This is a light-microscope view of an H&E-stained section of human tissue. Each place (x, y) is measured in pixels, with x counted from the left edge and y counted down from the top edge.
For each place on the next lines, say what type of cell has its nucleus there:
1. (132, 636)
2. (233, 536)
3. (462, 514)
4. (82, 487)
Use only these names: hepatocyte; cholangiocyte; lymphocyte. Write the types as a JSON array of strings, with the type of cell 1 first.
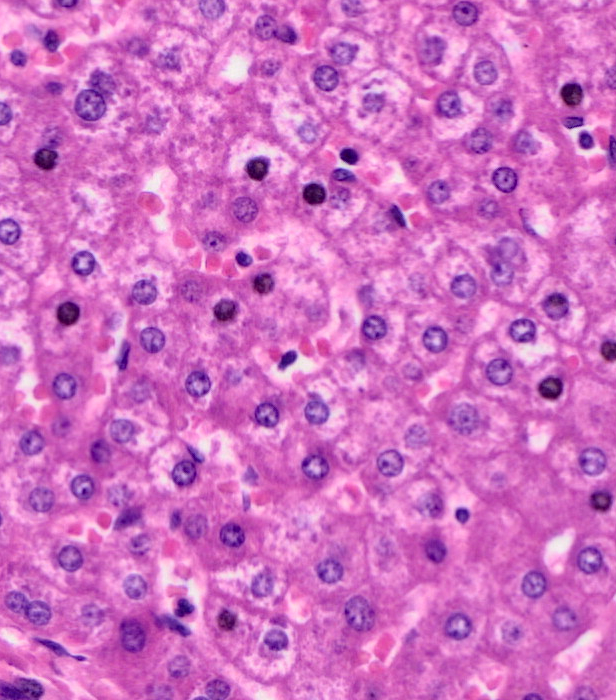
["hepatocyte", "hepatocyte", "lymphocyte", "hepatocyte"]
